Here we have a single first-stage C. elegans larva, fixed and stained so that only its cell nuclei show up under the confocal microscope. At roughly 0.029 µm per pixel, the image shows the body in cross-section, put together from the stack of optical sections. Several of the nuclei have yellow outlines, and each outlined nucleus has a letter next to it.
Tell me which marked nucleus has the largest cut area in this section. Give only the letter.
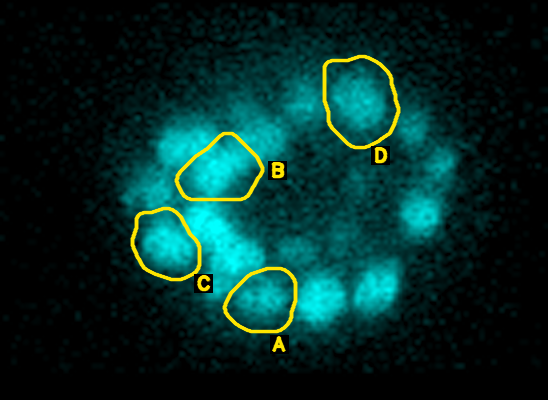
D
